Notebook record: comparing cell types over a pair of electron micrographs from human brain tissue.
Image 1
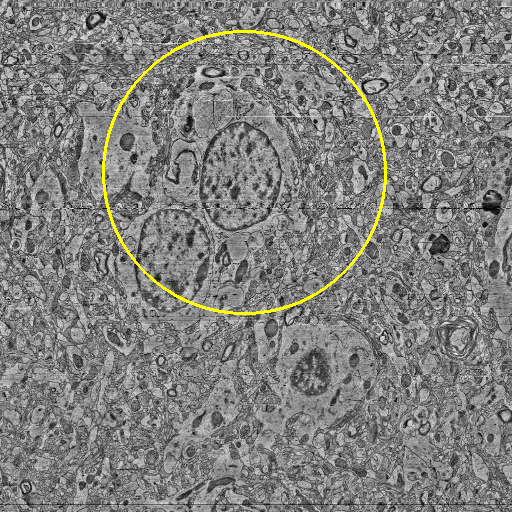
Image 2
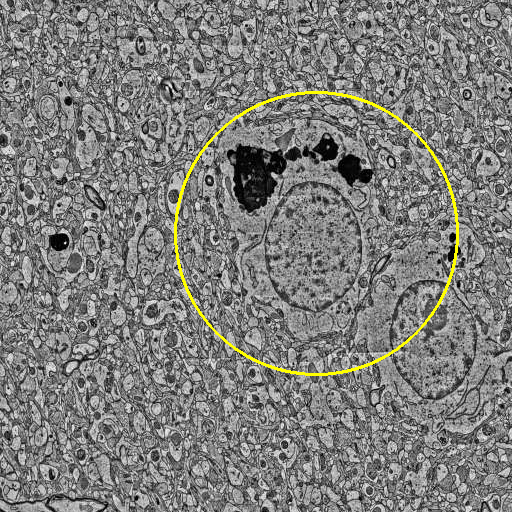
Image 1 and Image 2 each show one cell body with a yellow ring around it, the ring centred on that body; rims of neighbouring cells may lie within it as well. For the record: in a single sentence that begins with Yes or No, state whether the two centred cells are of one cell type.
Yes, one cell type is shared by the centred cells of Image 1 and Image 2.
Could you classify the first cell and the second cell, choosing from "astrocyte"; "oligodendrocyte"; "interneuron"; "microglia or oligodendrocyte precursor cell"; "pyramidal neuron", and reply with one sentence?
In each picture the ringed cell is an astrocyte.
